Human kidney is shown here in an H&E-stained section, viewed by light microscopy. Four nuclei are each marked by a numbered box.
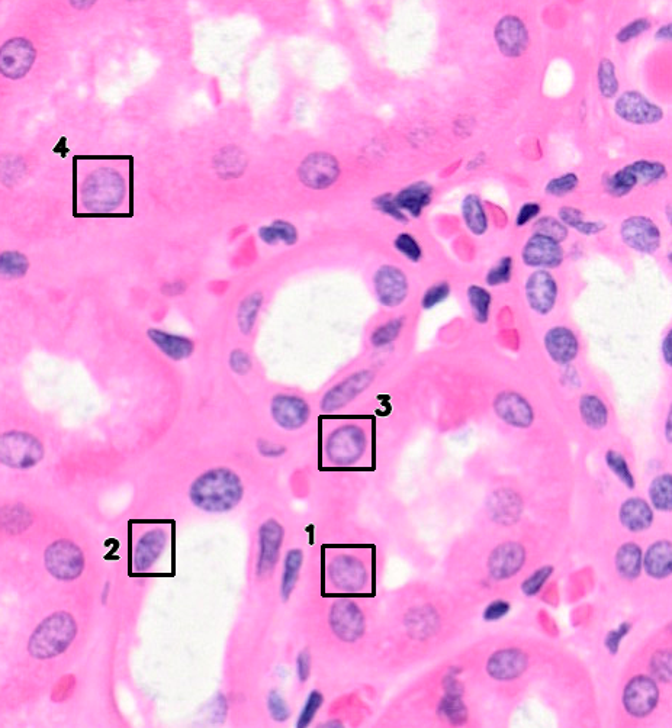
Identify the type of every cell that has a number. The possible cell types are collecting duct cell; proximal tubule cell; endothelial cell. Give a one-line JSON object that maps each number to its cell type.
{"1": "proximal tubule cell", "2": "collecting duct cell", "3": "proximal tubule cell", "4": "proximal tubule cell"}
